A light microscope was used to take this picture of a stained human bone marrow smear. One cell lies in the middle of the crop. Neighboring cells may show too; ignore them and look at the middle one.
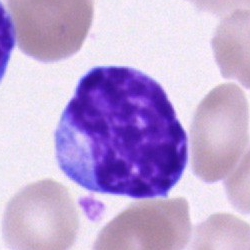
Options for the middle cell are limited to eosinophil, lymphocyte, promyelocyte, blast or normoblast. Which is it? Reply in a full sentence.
In the middle of this smear crop is a blast.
